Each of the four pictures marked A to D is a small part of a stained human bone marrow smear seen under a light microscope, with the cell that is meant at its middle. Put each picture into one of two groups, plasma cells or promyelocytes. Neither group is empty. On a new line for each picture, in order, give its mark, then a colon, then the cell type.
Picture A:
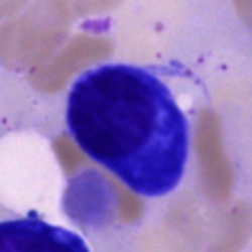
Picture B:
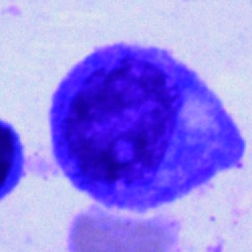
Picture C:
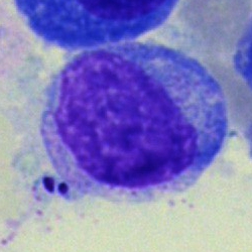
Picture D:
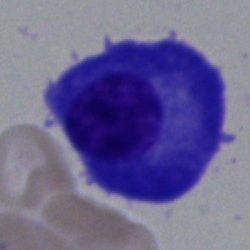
A: plasma cell
B: promyelocyte
C: promyelocyte
D: plasma cell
